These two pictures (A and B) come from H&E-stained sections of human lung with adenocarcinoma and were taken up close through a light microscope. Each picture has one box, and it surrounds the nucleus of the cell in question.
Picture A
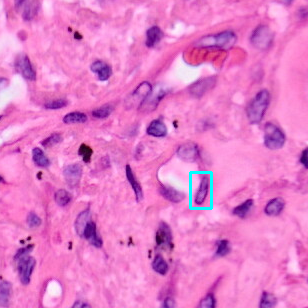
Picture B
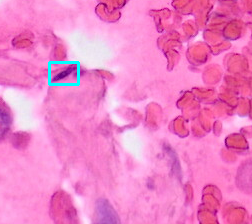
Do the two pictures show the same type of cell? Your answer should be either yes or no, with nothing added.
yes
